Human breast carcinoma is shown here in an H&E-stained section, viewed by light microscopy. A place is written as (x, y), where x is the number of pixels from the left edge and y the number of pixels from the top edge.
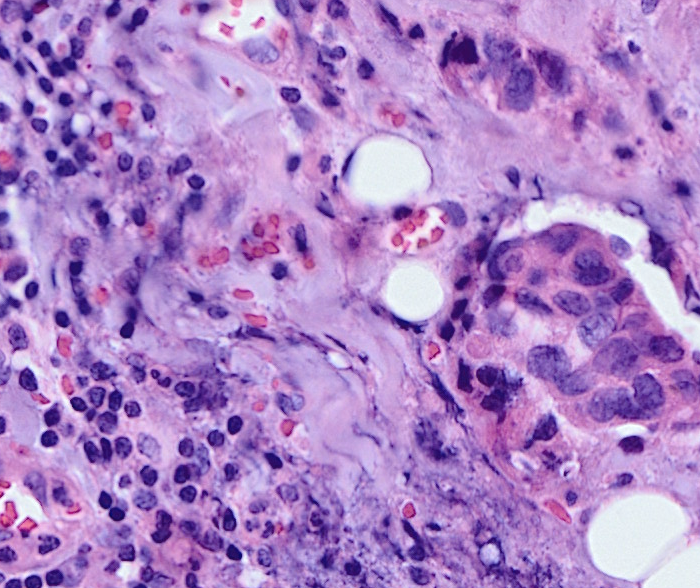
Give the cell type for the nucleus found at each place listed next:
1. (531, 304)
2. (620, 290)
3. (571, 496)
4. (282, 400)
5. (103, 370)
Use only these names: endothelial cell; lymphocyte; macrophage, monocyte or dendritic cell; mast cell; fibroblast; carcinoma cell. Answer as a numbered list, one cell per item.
1. carcinoma cell
2. carcinoma cell
3. endothelial cell
4. endothelial cell
5. lymphocyte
